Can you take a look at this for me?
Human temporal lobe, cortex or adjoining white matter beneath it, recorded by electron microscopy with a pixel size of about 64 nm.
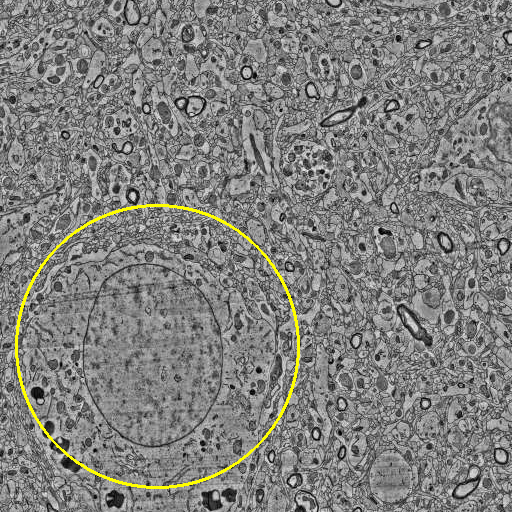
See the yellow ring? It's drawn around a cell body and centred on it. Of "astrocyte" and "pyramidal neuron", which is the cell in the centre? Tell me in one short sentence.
The one in the centre is a pyramidal neuron.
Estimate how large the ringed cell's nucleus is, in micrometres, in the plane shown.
Approximately 12 micrometres long and 9 micrometres wide, in this plane.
